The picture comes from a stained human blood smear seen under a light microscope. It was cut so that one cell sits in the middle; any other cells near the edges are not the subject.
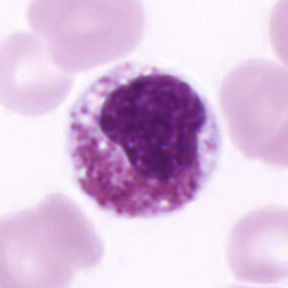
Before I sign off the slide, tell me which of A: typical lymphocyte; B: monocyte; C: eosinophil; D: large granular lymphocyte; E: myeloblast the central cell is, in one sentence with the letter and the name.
Option C is to be chosen, as the central cell is an eosinophil.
